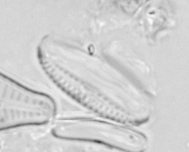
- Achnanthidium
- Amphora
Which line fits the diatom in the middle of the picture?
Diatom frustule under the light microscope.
Amphora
